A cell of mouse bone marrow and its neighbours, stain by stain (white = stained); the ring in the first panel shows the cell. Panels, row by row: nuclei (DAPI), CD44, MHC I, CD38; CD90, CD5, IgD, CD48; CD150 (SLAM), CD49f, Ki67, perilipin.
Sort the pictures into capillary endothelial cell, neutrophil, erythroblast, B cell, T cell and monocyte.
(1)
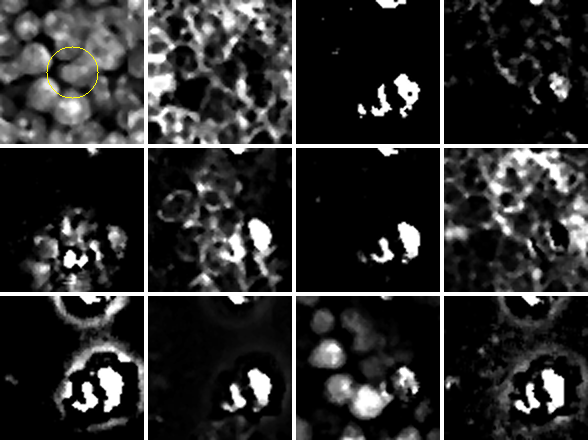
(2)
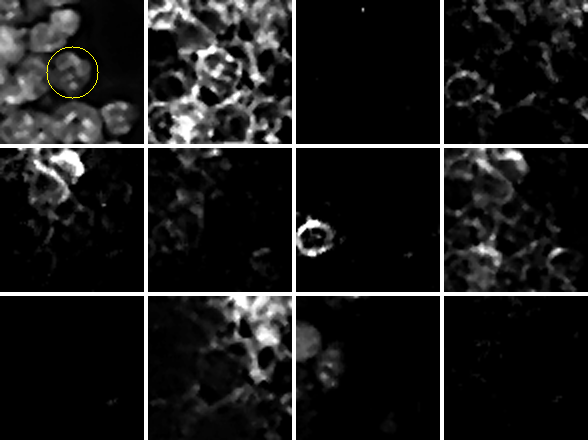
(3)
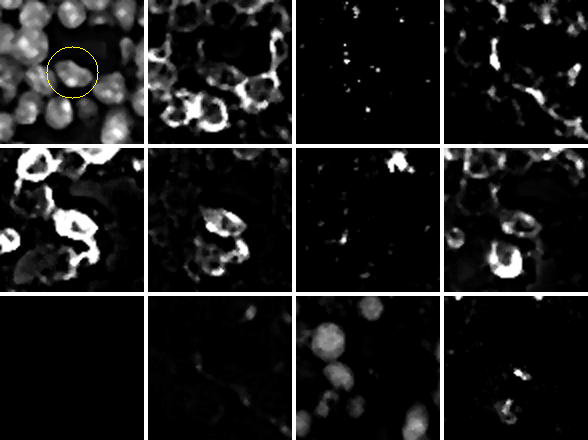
B cells: 1
Neutrophils: 2
T cells: 3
